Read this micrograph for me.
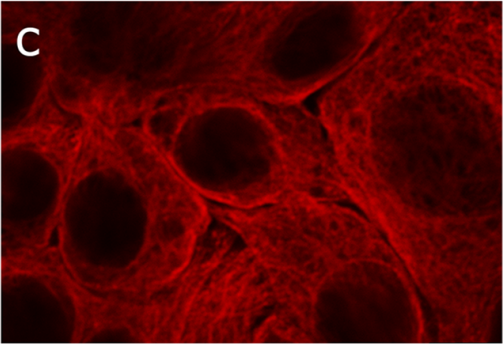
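Closely packed cultured cells whose cytoplasm is filled with a dense red filament network. Large oval dark nuclei are each ringed by filaments that curve around them, and bundles of fibres run across the cytoplasm between neighbouring cells.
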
